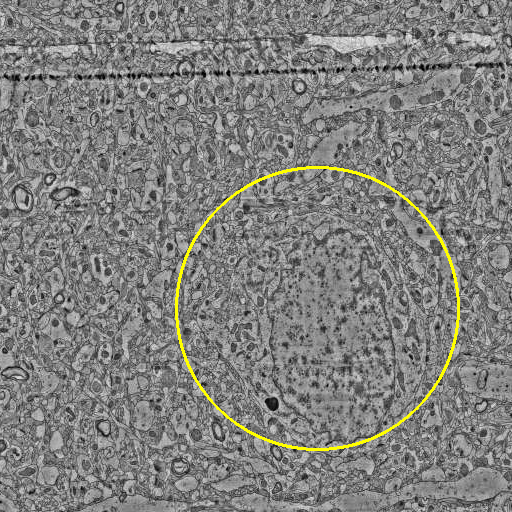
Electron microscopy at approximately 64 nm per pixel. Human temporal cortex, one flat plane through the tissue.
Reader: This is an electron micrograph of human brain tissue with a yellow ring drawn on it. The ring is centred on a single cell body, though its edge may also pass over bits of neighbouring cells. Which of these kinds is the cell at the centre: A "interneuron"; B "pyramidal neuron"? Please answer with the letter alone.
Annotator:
A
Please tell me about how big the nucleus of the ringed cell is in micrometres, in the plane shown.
In this plane, the nucleus of the cell at the centre of the ring measures about 12 by 9 micrometres.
